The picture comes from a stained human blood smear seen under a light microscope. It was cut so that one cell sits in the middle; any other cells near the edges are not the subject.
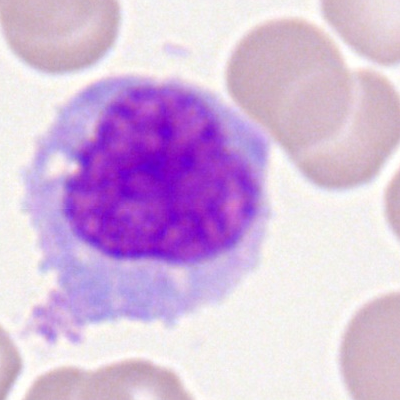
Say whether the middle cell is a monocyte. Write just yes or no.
yes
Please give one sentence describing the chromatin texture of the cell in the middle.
Here the nuclear chromatin is coarsely clumped.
